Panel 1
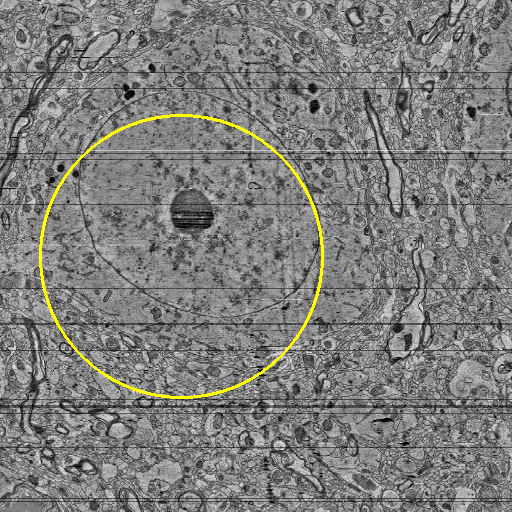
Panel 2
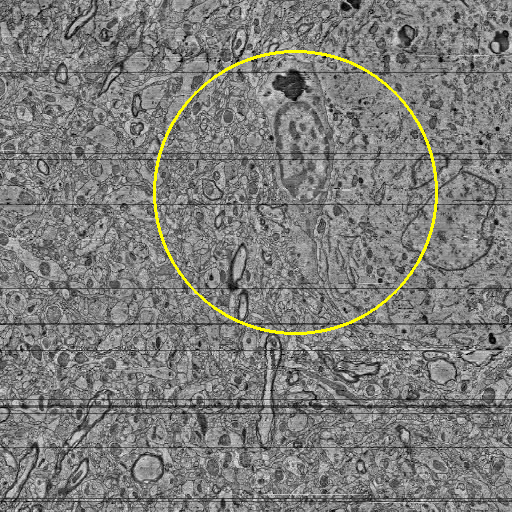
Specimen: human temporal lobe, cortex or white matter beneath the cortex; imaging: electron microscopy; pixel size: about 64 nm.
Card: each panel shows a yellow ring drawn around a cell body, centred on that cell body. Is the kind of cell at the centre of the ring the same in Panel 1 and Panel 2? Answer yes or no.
no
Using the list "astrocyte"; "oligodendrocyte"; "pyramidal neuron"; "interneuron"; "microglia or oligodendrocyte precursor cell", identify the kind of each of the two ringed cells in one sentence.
The first is a pyramidal neuron and the second is an oligodendrocyte.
